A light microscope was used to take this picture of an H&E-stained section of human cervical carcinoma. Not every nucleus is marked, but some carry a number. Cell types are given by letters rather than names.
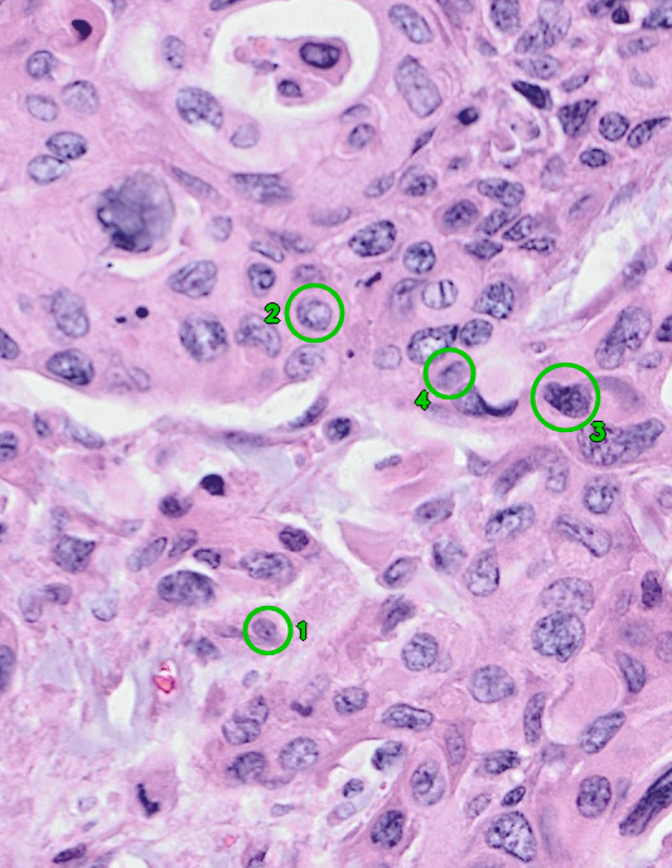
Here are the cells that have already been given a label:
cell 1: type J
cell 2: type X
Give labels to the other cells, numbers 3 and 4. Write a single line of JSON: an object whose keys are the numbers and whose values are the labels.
{"3": "type X", "4": "type X"}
